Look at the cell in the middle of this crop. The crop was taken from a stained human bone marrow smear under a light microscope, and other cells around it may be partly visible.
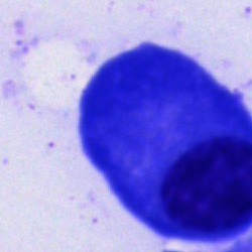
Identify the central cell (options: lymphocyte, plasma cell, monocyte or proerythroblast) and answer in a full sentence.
The cell of interest, in the center, is a plasma cell.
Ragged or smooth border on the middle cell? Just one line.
If you check the edge, you will find it smooth without projections.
